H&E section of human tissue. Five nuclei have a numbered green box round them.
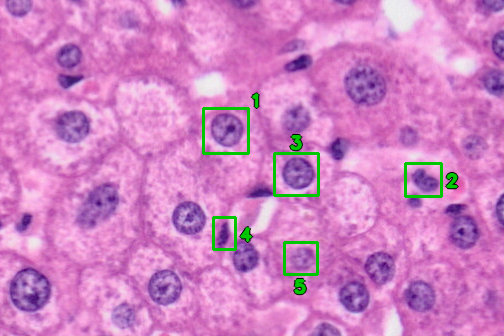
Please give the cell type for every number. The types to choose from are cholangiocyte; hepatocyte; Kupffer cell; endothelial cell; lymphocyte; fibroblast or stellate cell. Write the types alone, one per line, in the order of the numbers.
hepatocyte
Kupffer cell
hepatocyte
fibroblast or stellate cell
hepatocyte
